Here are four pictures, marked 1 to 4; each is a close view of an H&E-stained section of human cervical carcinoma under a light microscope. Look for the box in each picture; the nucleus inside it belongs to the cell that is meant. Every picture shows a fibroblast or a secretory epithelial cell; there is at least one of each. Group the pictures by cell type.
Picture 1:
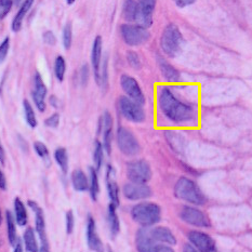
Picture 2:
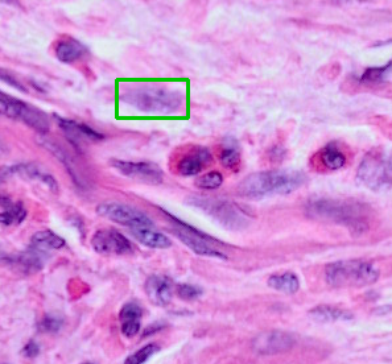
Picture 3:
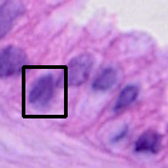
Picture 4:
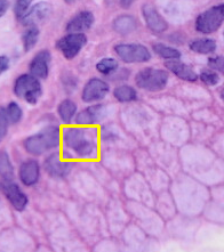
1: secretory epithelial cell
2: fibroblast
3: secretory epithelial cell
4: secretory epithelial cell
